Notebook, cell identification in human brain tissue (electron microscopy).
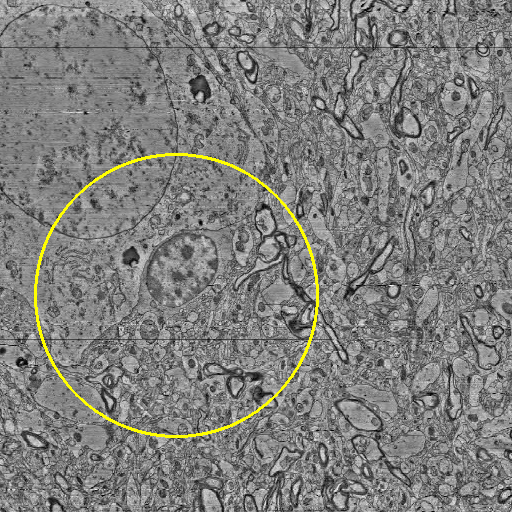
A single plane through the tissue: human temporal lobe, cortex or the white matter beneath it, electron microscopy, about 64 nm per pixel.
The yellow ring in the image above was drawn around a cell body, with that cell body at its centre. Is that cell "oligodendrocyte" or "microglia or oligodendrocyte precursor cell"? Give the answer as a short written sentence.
The cell in the ring is an oligodendrocyte.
